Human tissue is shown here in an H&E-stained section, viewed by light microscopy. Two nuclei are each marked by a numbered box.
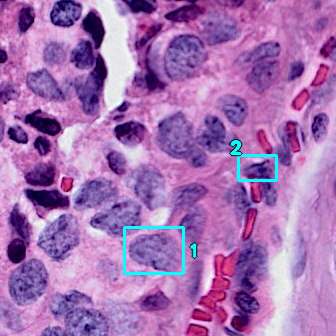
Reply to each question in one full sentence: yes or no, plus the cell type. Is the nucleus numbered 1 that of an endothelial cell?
No, calling cell 1 an endothelial cell is incorrect; it is a carcinoma cell.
